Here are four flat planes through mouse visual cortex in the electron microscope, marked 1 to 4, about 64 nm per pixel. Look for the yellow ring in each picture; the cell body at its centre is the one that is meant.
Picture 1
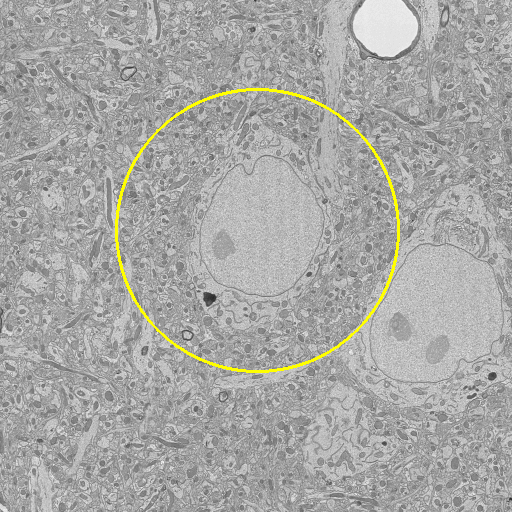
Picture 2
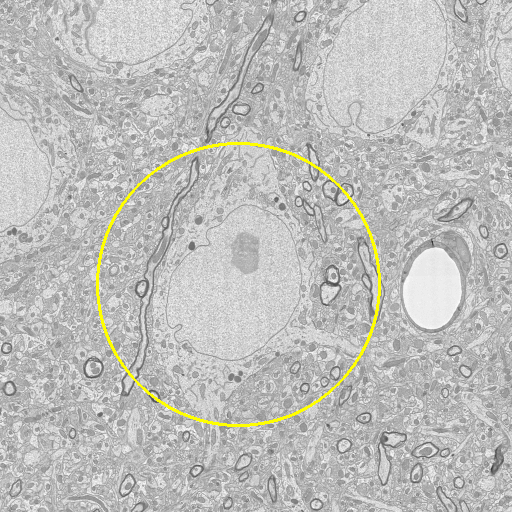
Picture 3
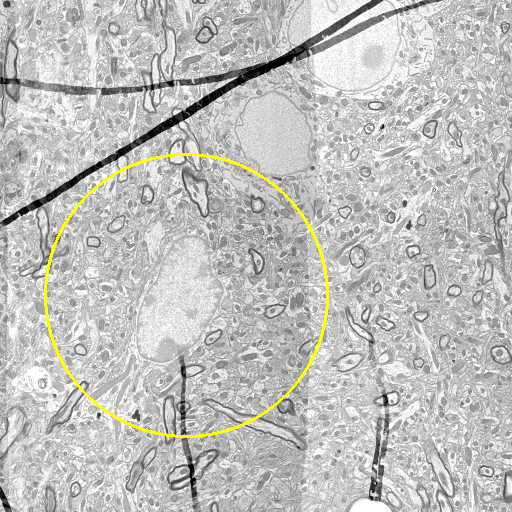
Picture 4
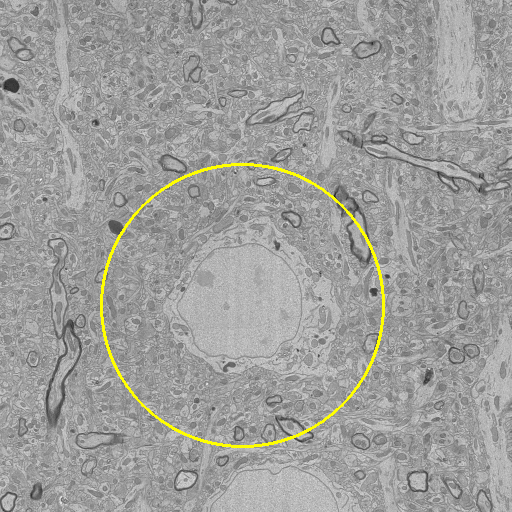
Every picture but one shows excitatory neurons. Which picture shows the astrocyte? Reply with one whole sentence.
The cell in picture 3 is the astrocyte.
